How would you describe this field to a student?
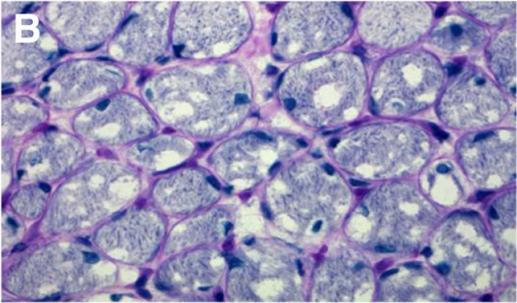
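Cross-sectioned skeletal muscle fibres appear as rounded, polygonal profiles, each outlined by pink-staining interstitial connective tissue that is wider than usual and holds scattered dark, elongated nuclei. Within most fibres lie one or more sharply bounded clear spaces, the vacuoles, set among pale grey-blue cytoplasm that still shows a fine, stippled internal texture. Some nuclei sit at the edges of fibres, pressed against the outline. The fibres vary somewhat in size, and the spacing between them gives the section a loose, honeycomb-like look rather than the tight mosaic of healthy muscle.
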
